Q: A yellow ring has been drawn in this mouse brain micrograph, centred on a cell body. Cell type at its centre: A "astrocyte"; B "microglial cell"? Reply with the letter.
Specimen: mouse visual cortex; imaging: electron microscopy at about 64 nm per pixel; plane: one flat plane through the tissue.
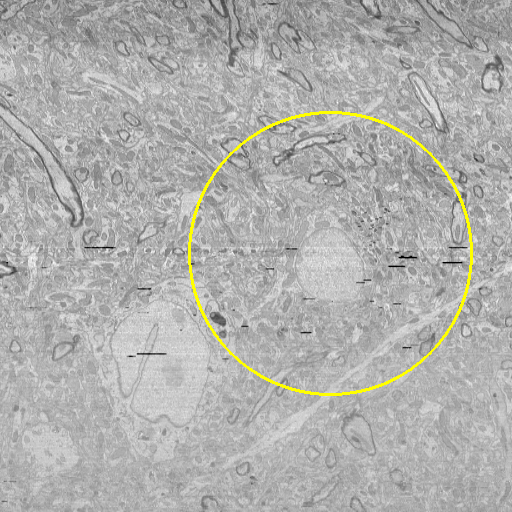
A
